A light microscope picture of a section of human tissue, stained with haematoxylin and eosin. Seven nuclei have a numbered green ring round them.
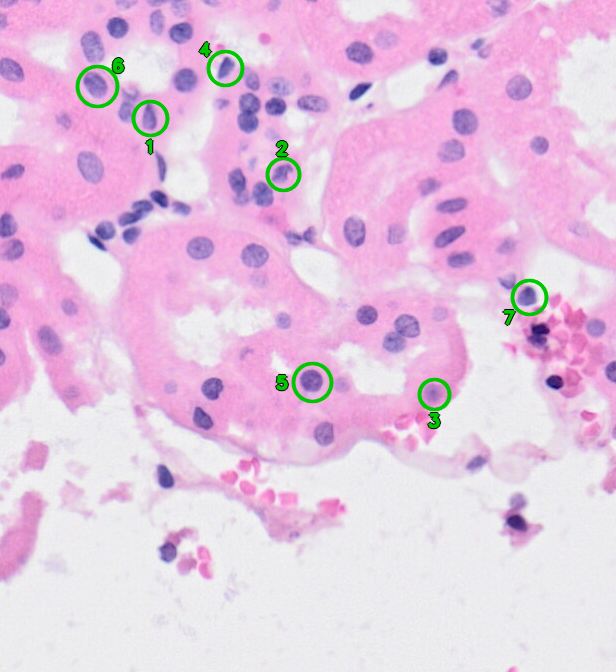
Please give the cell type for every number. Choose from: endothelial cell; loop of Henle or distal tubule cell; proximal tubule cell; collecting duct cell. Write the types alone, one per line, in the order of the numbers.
collecting duct cell
collecting duct cell
proximal tubule cell
endothelial cell
proximal tubule cell
collecting duct cell
endothelial cell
